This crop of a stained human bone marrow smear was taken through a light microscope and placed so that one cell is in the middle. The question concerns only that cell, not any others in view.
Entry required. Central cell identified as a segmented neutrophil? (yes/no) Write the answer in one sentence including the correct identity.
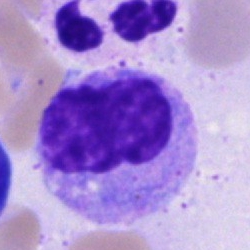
No, the cell placed at the center is a monocyte rather than a segmented neutrophil.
